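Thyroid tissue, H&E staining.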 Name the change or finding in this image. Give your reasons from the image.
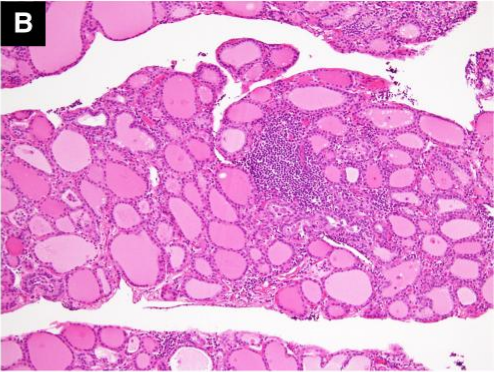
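Many follicles filled with pink colloid and lined by flat epithelium. A focal cluster of small dark round cells lies between the follicles. On this evidence: chronic thyroiditis.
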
